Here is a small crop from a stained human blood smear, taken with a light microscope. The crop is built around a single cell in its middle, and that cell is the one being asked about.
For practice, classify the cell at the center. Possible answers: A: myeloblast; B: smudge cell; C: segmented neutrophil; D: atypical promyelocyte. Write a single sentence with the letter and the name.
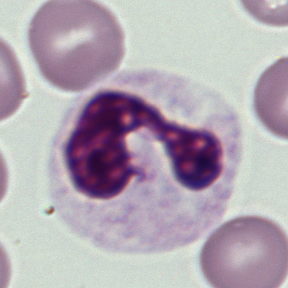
Of the options given, C is correct, the central cell being a segmented neutrophil.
